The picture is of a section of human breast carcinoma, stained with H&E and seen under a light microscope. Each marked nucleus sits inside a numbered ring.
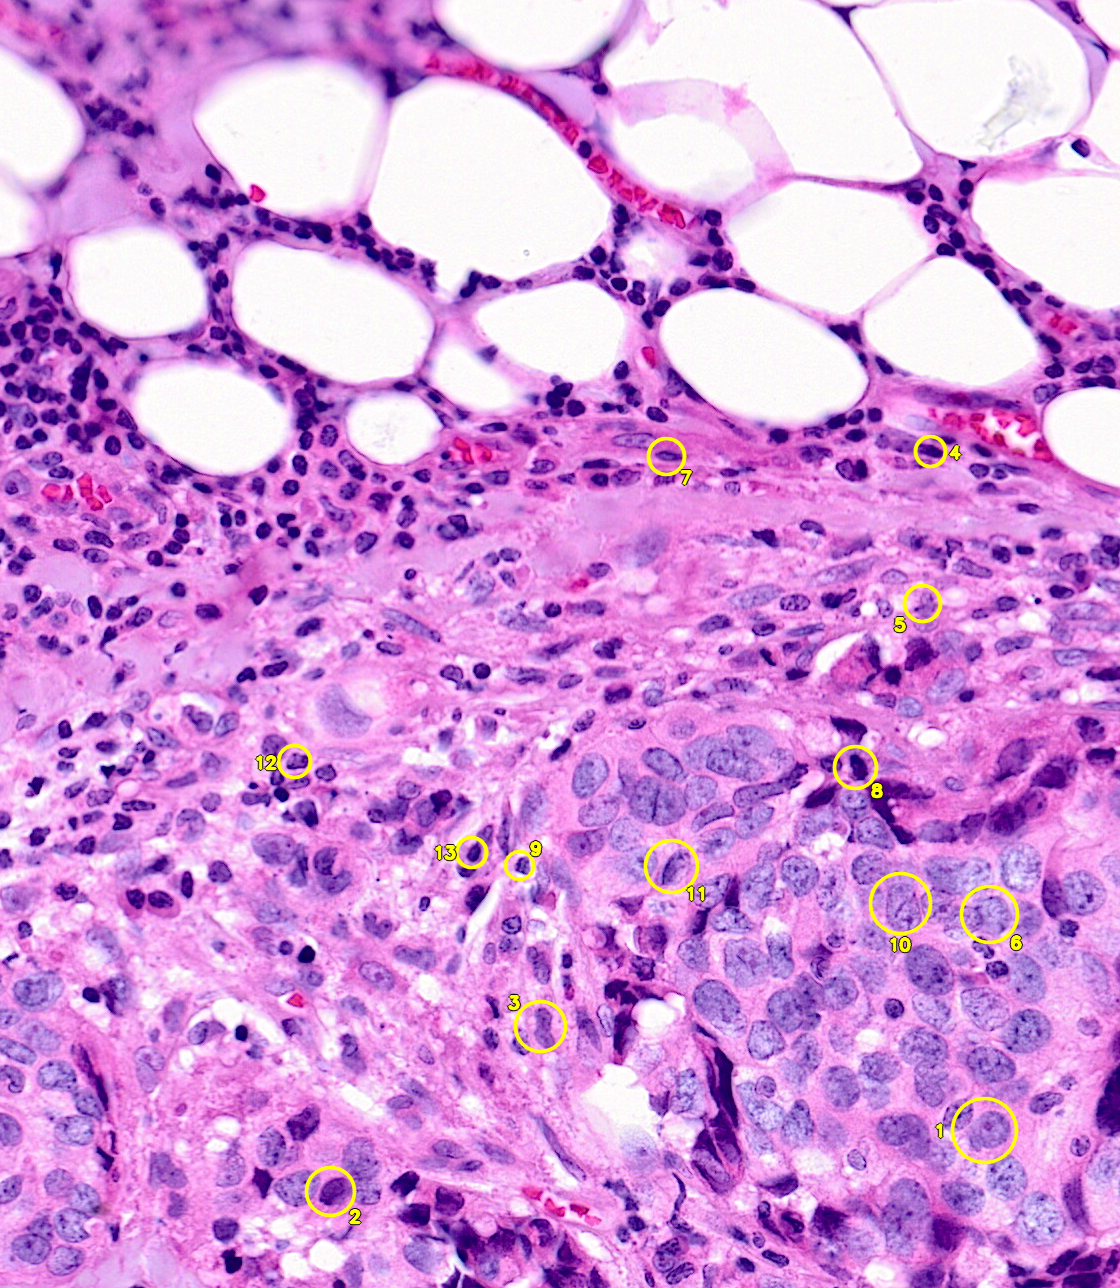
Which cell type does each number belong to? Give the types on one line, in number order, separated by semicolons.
carcinoma cell; carcinoma cell; macrophage, monocyte or dendritic cell; lymphocyte; macrophage, monocyte or dendritic cell; carcinoma cell; endothelial cell; carcinoma cell; lymphocyte; carcinoma cell; carcinoma cell; lymphocyte; lymphocyte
